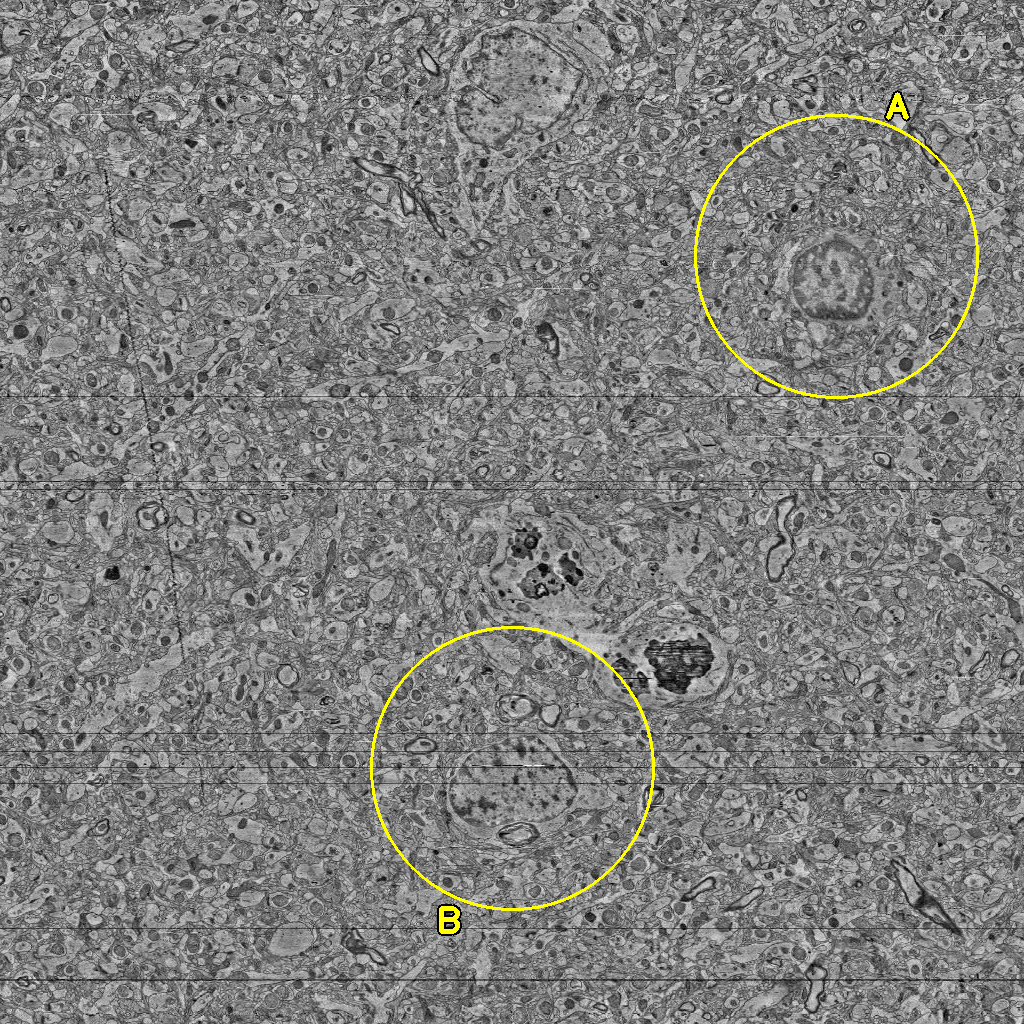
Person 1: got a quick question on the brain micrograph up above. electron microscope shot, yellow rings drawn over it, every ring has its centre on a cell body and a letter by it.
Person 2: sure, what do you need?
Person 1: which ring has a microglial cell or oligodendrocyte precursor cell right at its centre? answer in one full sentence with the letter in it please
In that picture, ring B is centred on the cell asked for.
